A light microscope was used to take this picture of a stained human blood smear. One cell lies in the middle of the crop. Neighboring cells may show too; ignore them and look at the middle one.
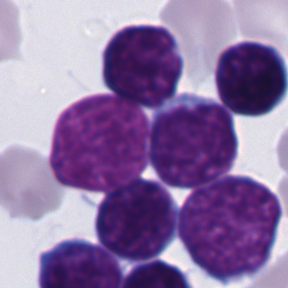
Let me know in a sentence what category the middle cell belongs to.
By type, the central cell of the crop is a myeloblast.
